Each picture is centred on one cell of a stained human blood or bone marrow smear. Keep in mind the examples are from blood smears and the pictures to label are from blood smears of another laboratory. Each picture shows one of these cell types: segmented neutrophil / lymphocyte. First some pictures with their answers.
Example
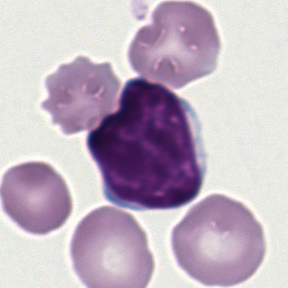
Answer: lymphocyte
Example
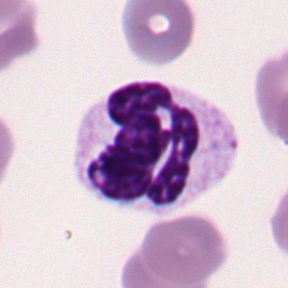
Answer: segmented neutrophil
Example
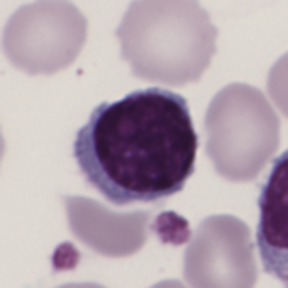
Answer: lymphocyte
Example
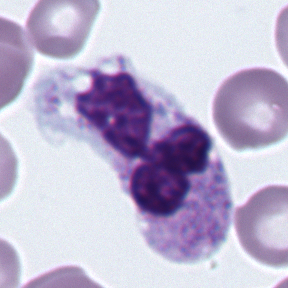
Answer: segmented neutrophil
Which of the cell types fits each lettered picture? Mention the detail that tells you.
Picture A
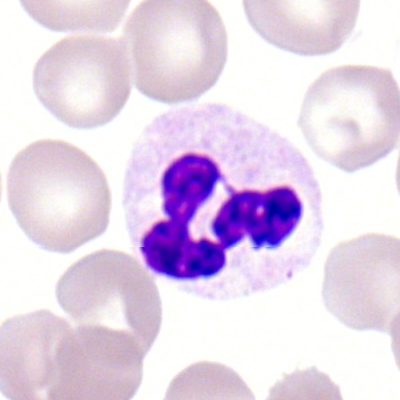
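segmented neutrophil. The cytoplasm is abundant and pale pinkish-lilac.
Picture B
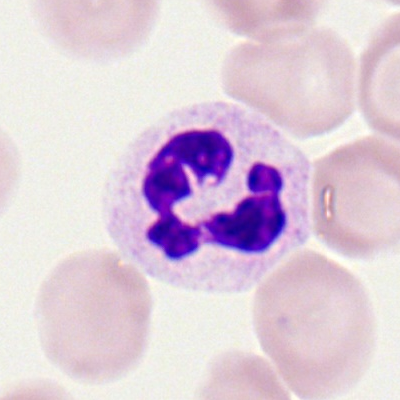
segmented neutrophil. The cytoplasm is abundant and pale pinkish-lilac.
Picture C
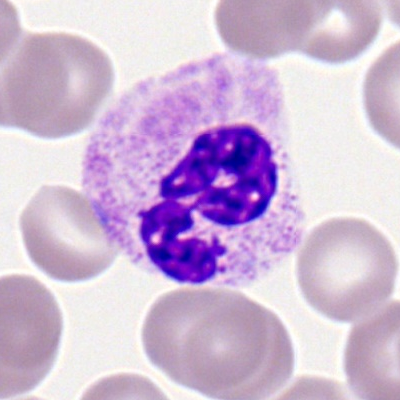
segmented neutrophil. The nucleus is divided into separate lobes joined by narrow parts.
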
